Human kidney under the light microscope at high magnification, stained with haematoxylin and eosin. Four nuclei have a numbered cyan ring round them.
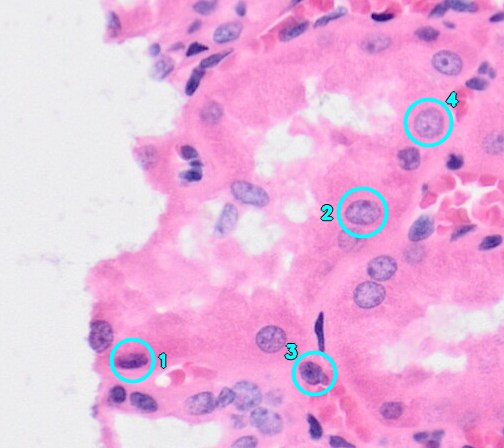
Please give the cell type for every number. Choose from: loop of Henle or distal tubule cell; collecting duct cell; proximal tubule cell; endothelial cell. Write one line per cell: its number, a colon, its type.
1: proximal tubule cell
2: proximal tubule cell
3: endothelial cell
4: proximal tubule cell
